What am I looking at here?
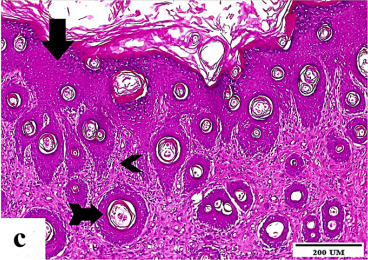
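This is skin with a markedly thickened epidermis forming a dense purple band along the top. Beneath it the dermis is crowded with hair follicles cut in cross-section, each a ring of epithelial cells around a central hair shaft. The epithelium dips down in broad downgrowths that merge with the follicles. Between the follicles lies pink connective tissue with scattered small nuclei.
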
